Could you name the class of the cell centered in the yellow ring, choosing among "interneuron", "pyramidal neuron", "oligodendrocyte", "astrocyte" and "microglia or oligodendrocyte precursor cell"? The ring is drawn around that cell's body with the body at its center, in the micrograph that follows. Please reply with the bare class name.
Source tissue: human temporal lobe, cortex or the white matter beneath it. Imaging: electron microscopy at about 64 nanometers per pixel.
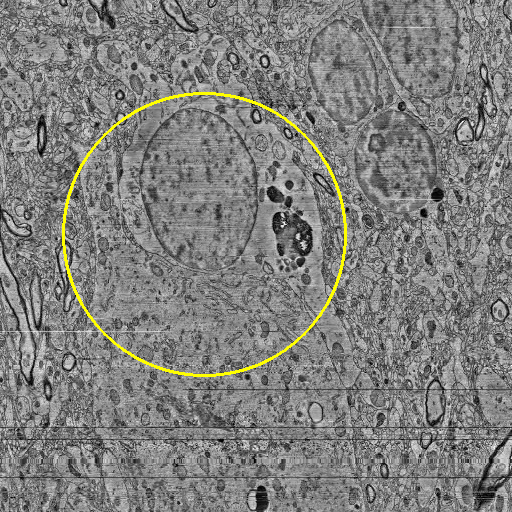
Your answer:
astrocyte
